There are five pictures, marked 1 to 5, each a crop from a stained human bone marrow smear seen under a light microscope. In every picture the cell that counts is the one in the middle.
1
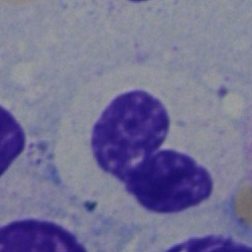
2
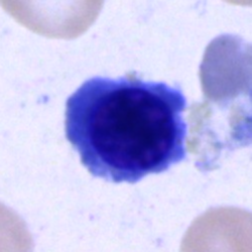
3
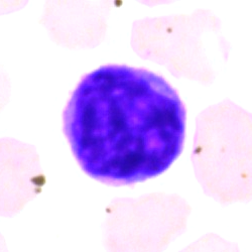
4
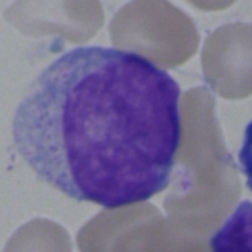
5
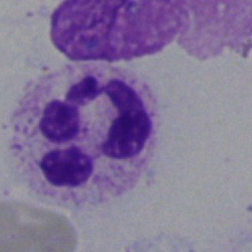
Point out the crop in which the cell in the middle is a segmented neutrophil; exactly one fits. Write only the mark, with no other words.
5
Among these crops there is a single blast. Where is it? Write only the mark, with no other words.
4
